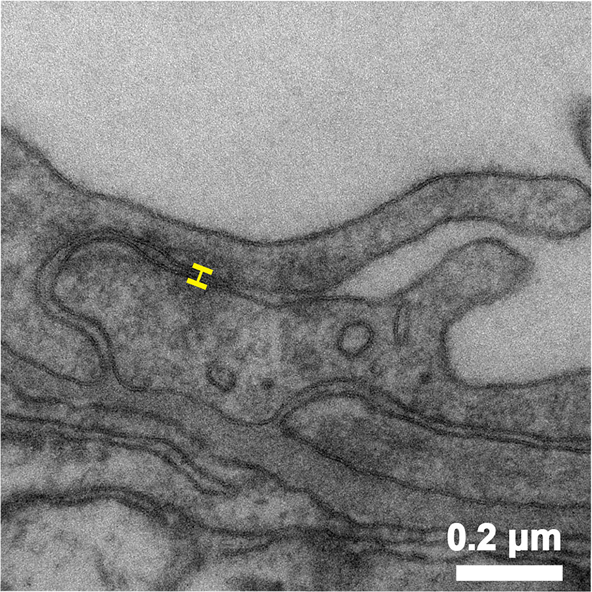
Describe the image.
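This high-magnification view shows thin endothelial cell processes at the edge of a vessel lumen, with a junctional complex where two processes meet. The two cell membranes run closely side by side as a dark, narrow, winding cleft, and the yellow bar marks its width.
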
